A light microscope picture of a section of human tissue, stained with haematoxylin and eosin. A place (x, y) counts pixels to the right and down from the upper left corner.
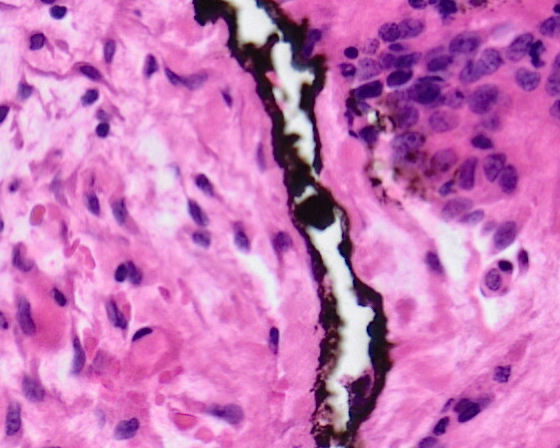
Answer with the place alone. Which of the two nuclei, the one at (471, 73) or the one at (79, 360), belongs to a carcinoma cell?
(471, 73)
